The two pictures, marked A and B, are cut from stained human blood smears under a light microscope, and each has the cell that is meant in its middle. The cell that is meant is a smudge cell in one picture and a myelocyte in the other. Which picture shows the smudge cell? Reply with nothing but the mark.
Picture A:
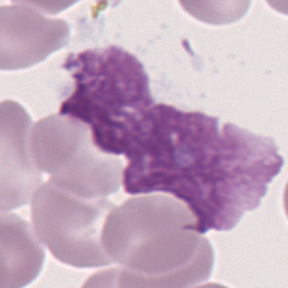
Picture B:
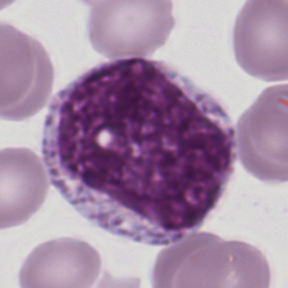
A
